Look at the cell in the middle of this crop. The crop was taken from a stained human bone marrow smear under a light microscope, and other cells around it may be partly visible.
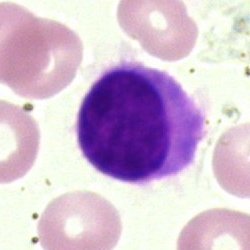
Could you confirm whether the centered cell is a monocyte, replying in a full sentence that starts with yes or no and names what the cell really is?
No, at the middle of the crop is a hairy cell, not a monocyte.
